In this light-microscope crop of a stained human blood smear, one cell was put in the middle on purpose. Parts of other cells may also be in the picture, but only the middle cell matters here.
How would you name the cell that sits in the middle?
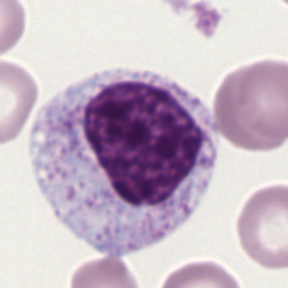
myelocyte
